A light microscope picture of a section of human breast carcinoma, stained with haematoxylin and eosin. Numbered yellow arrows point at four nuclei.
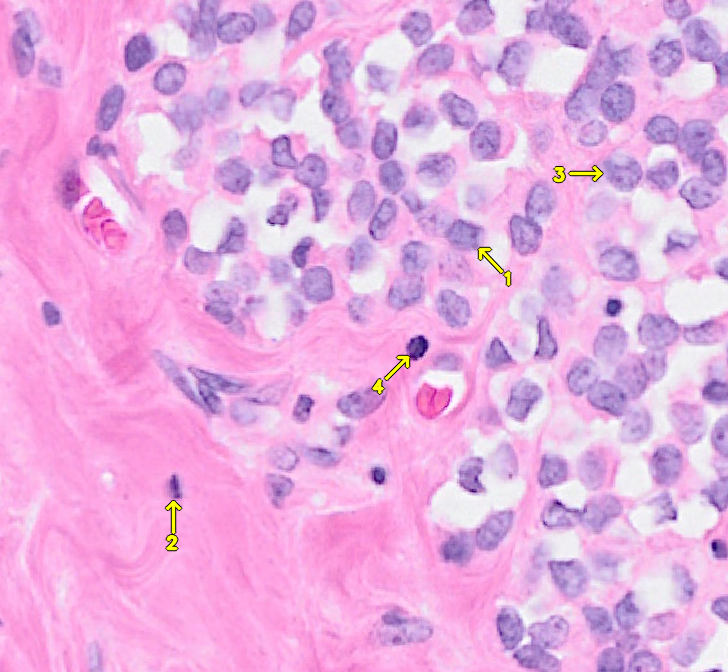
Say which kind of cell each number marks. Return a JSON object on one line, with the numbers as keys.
{"1": "carcinoma cell", "2": "fibroblast", "3": "carcinoma cell", "4": "lymphocyte"}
